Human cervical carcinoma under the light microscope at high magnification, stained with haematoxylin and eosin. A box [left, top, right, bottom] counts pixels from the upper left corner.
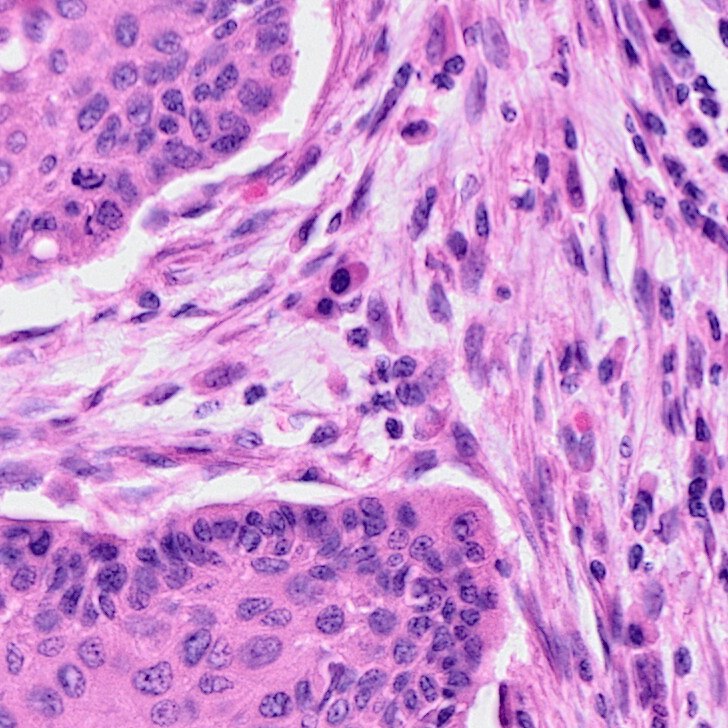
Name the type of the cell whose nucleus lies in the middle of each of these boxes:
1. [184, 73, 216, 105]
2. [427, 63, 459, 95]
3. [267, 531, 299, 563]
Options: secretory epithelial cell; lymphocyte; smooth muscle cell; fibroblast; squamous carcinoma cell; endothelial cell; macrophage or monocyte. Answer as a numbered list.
1. squamous carcinoma cell
2. lymphocyte
3. squamous carcinoma cell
